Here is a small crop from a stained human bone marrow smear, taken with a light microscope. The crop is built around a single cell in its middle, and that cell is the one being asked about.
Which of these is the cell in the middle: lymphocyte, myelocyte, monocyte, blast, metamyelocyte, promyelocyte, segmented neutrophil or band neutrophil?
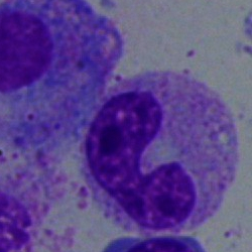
band neutrophil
